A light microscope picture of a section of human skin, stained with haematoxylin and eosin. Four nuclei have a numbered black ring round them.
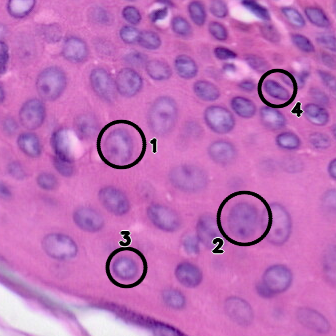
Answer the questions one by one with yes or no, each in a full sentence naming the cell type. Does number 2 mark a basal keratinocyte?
No, what is marked as number 2 is a suprabasal keratinocyte rather than a basal keratinocyte.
